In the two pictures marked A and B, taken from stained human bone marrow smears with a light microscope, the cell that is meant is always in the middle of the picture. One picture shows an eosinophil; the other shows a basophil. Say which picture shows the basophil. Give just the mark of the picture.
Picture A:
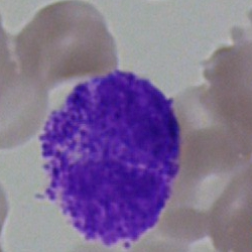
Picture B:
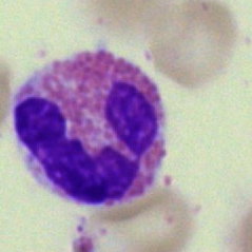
A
